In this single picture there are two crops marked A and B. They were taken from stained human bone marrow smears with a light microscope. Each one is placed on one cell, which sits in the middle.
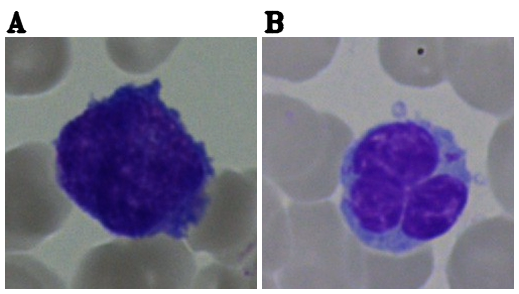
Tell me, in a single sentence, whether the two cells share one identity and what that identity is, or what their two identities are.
No, crop A shows a blast, and it is crop B that shows a lymphocyte.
